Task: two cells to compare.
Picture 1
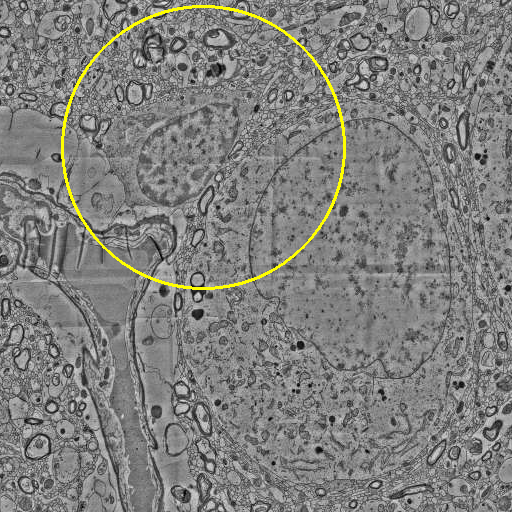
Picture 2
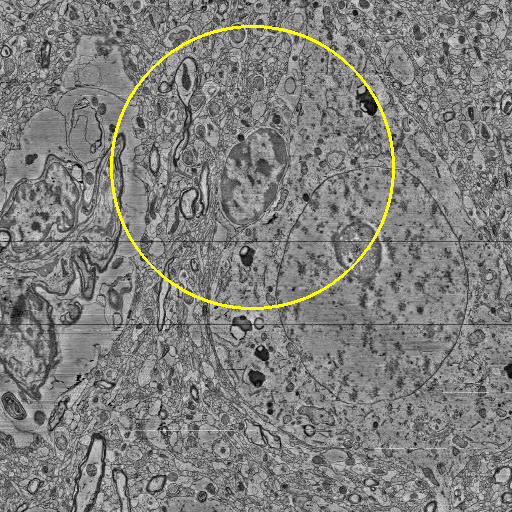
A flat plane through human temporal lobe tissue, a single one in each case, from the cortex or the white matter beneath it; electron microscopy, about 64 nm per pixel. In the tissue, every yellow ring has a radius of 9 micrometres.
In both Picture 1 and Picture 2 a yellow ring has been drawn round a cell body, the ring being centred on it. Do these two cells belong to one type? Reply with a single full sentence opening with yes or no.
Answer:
No, the two cells at the ring centres in Picture 1 and Picture 2 are of two types.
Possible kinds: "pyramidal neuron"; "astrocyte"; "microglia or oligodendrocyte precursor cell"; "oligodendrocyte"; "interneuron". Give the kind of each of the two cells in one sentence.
The cell in the second picture is a microglial cell or oligodendrocyte precursor cell, and that in the first is an oligodendrocyte.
